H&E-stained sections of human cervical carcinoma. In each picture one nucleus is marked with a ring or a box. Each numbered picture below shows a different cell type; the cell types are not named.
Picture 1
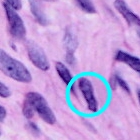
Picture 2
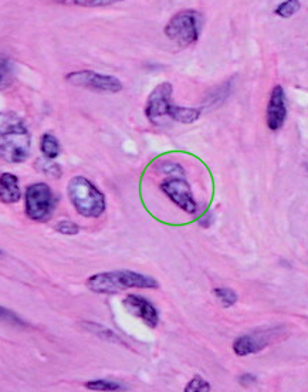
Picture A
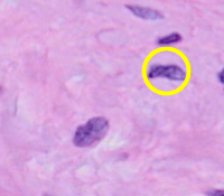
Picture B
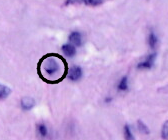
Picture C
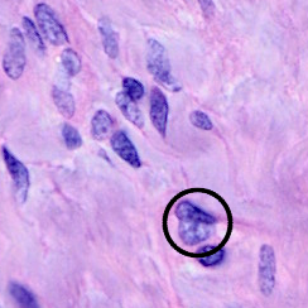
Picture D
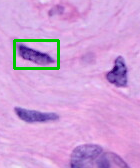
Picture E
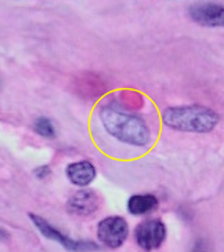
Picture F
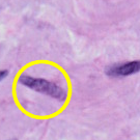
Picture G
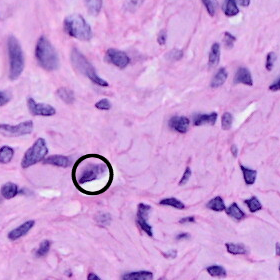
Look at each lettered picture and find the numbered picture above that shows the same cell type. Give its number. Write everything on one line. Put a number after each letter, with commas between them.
A 1, B 1, C 2, D 1, E 2, F 1, G 2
